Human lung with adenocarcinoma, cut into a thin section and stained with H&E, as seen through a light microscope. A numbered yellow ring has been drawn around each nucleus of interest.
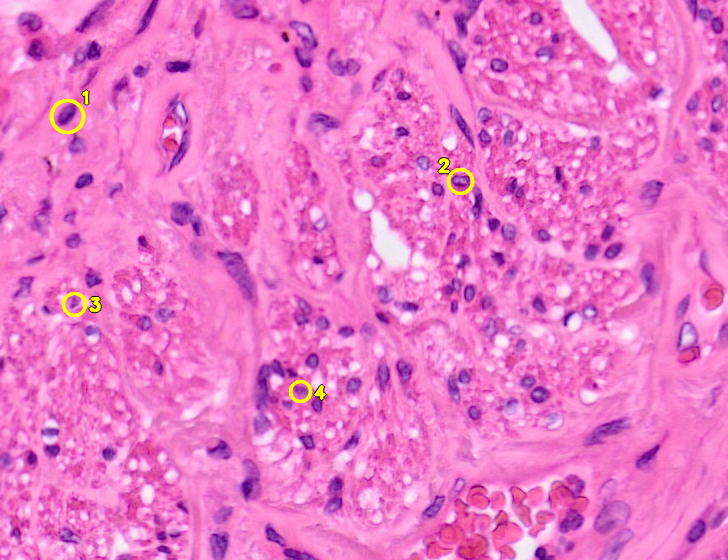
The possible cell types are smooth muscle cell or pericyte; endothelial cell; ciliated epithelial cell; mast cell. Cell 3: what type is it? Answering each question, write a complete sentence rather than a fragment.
The one numbered 3 among the marked cells is a smooth muscle cell or pericyte.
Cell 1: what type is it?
Cell number 1 in this section is a mast cell.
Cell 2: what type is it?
The cell referred to as 2 is a smooth muscle cell or pericyte.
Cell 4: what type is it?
The cell assigned the number 4 is a smooth muscle cell or pericyte.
